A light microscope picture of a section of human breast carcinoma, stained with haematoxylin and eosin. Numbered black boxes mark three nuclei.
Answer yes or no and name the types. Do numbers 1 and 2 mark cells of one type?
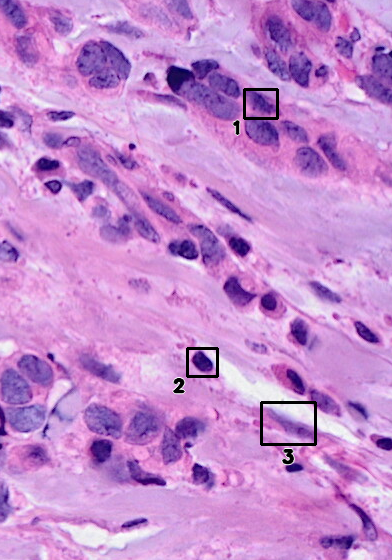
No, cell 1 here is a carcinoma cell and cell 2 here is a lymphocyte.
